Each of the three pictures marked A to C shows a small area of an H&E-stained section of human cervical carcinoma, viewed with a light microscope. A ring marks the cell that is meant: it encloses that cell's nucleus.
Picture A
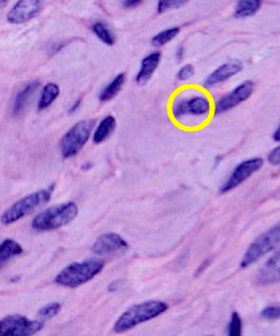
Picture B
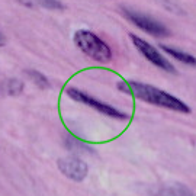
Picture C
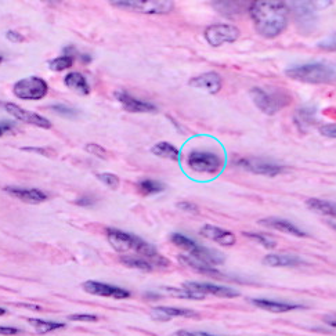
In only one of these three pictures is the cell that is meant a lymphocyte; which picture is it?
C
